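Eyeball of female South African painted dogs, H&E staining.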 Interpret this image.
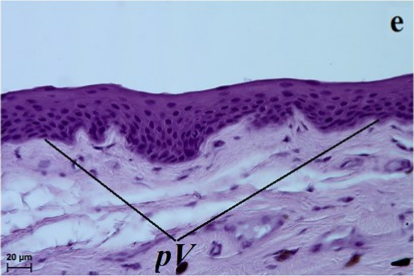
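This is the epithelium of the corneal limbus, a stratified epithelium with many layers of cells whose nuclei stain dark purple. Its lower border is not flat but undulates, forming ridges that reach down into the underlying tissue, and the basal cells there are densely packed. Below the epithelium lies loose connective tissue with scattered nuclei and open spaces. A few cells with brown pigment sit in this connective tissue.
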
